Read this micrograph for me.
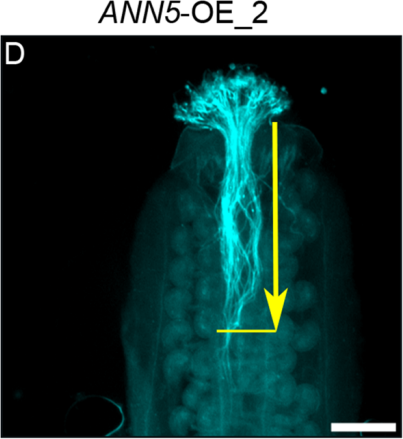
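This is a pollinated pistil with a dense, bright cyan mass of pollen at its apex from which numerous pollen tubes grow downward. The pollen tubes form a thick central bundle of thin threads that narrows and thins lower down. Faintly fluorescent rounded ovules line the ovary on both sides of the bundle. The pistil wall shows only weak background fluorescence.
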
